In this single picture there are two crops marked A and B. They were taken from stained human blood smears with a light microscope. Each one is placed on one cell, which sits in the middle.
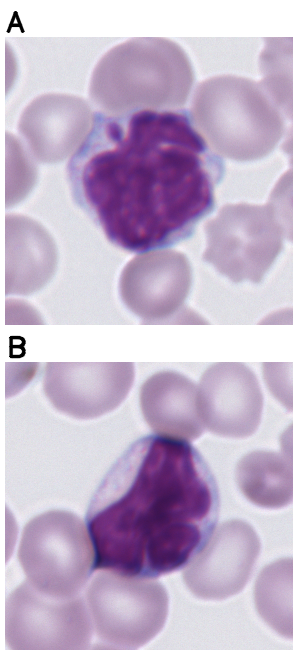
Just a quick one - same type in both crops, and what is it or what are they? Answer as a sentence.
Yes, large granular lymphocytes are depicted in both crops.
